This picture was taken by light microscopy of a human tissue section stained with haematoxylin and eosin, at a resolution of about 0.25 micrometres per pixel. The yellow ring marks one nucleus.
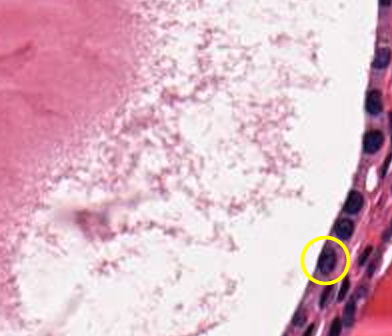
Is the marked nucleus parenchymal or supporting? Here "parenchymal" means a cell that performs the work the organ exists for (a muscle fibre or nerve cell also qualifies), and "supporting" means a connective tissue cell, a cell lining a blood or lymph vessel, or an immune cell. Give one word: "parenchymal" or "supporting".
parenchymal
